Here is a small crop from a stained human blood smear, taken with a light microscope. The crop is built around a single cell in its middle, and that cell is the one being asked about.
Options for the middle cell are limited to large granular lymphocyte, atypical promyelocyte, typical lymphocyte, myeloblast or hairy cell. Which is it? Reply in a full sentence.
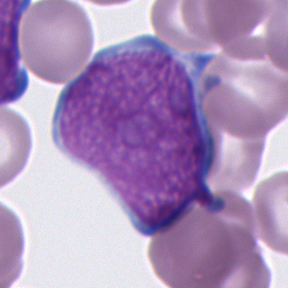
Answering briefly, the cell in the middle is a myeloblast.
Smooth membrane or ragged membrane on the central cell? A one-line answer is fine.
The cytoplasmic margin is uneven, whether through ragged segments or through projections.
